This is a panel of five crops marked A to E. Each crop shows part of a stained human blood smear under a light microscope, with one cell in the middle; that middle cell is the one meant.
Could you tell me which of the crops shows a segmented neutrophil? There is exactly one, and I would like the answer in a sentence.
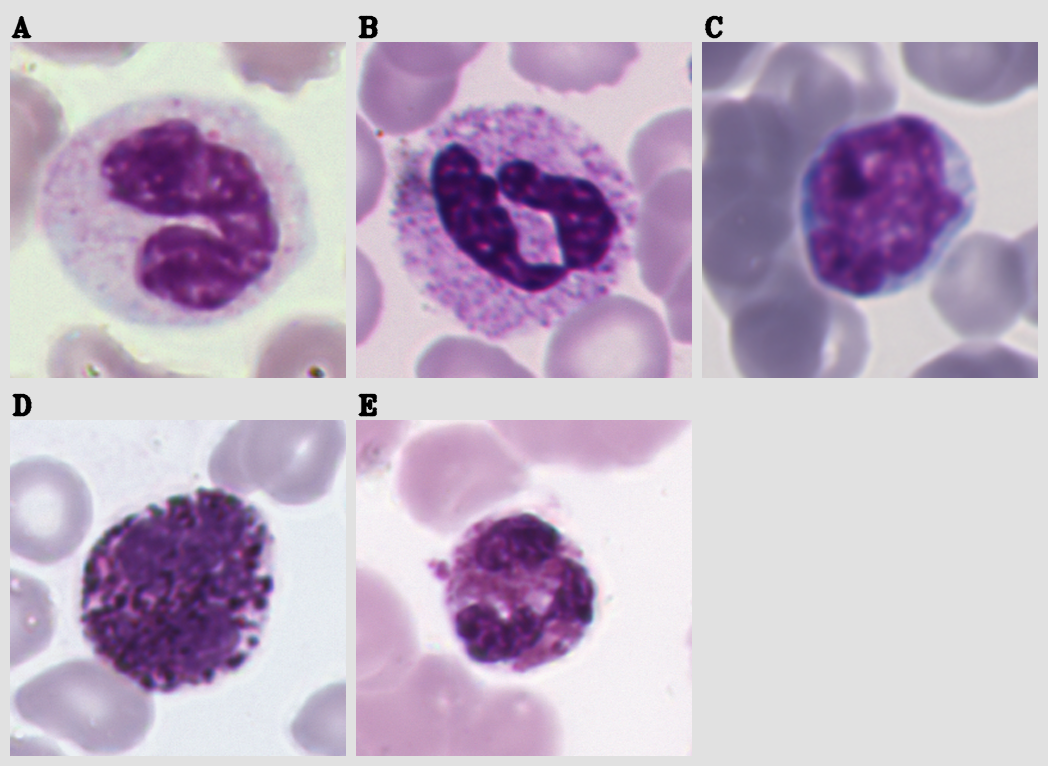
The crop showing a segmented neutrophil in this series is crop B.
